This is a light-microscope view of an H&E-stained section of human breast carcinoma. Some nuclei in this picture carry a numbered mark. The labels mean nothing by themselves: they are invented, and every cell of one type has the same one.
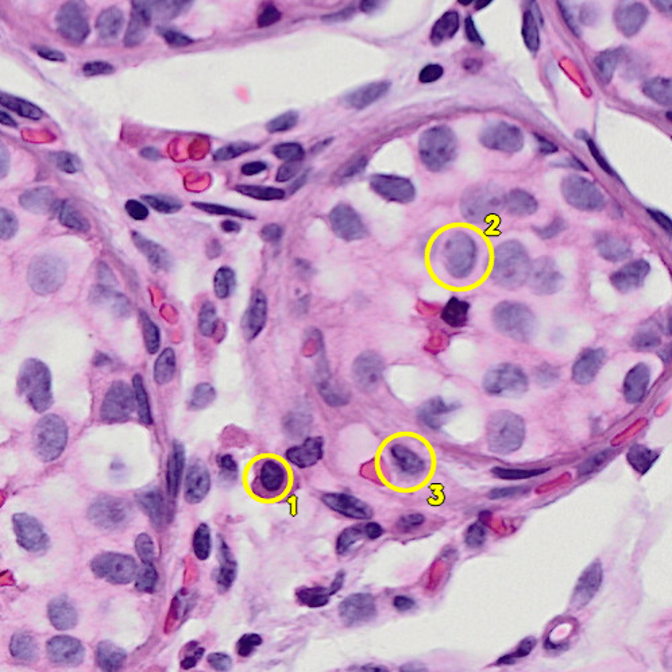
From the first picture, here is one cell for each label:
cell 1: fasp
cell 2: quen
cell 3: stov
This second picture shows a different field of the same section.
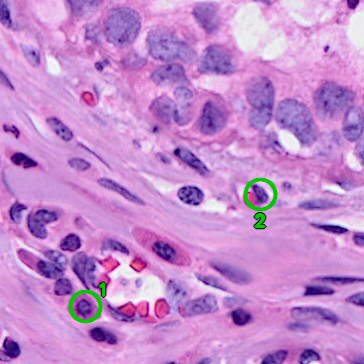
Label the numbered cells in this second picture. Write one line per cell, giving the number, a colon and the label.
1: fasp
2: stov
